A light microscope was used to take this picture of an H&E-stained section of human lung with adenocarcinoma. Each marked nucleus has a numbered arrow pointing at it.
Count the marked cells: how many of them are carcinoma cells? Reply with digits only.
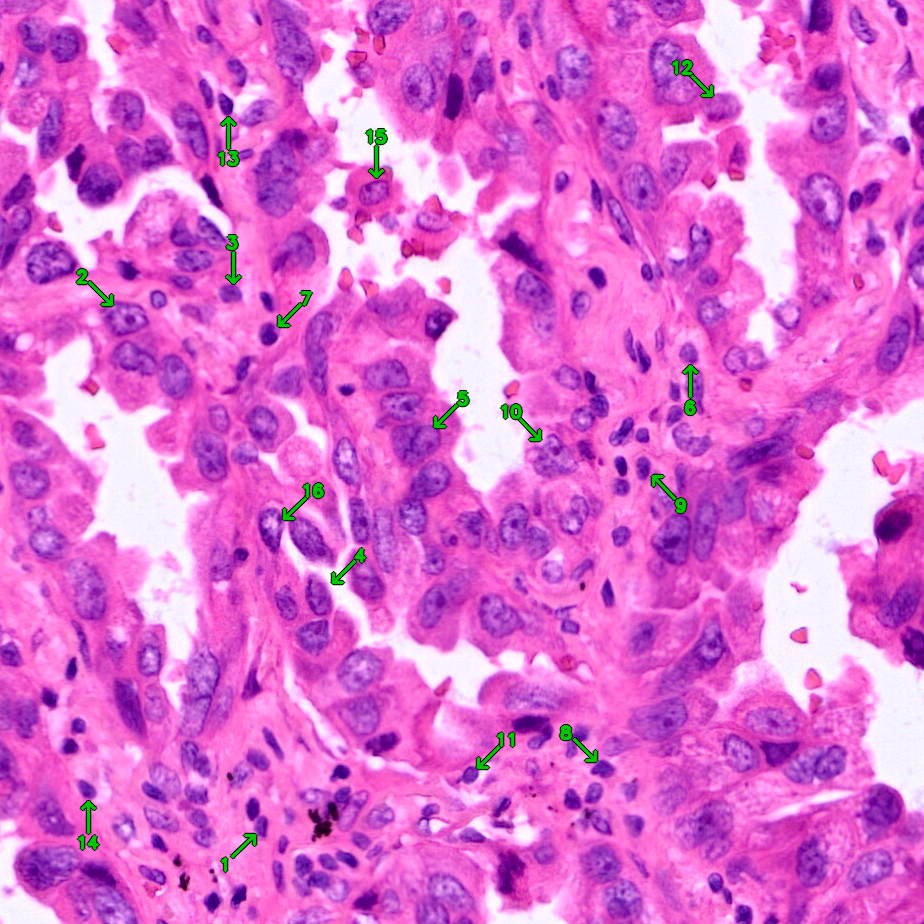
6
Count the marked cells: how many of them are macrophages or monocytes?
1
